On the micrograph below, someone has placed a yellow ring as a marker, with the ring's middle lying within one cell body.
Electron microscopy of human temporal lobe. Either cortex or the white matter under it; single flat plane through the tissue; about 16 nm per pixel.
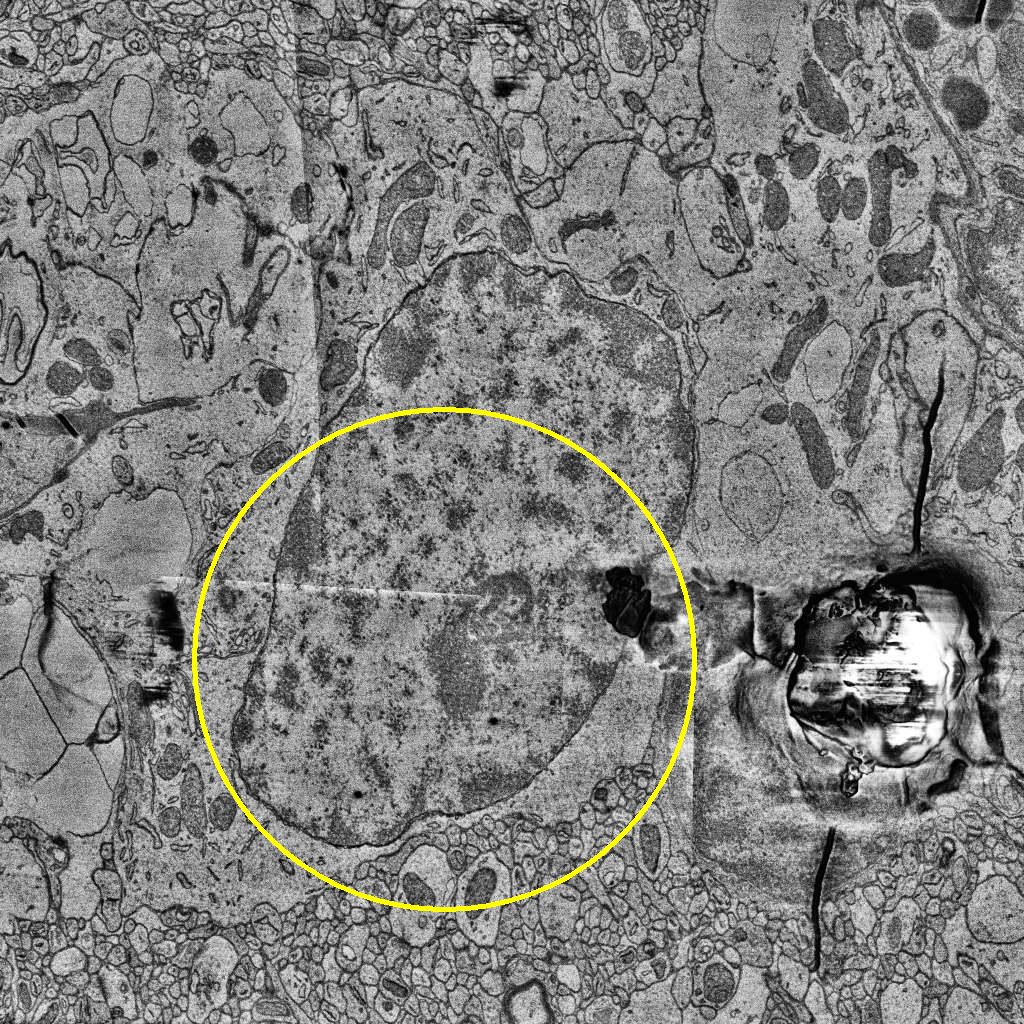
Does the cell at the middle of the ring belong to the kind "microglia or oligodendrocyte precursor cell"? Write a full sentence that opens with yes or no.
Yes, the cell at the ring's middle on the micrograph is that kind.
